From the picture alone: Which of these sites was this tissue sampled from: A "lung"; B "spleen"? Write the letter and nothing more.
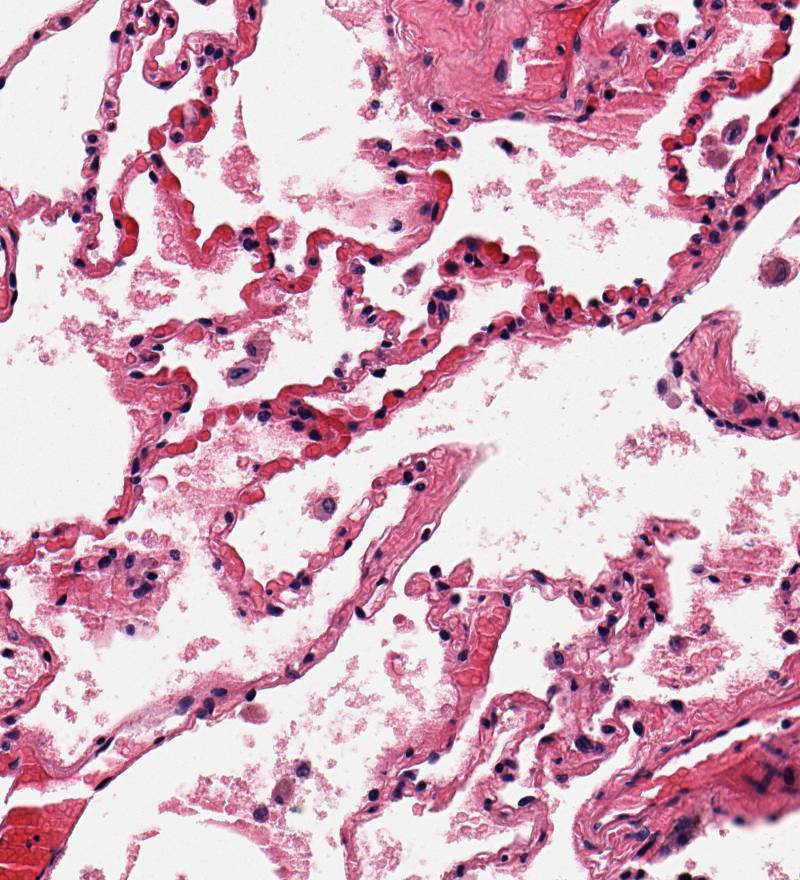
A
